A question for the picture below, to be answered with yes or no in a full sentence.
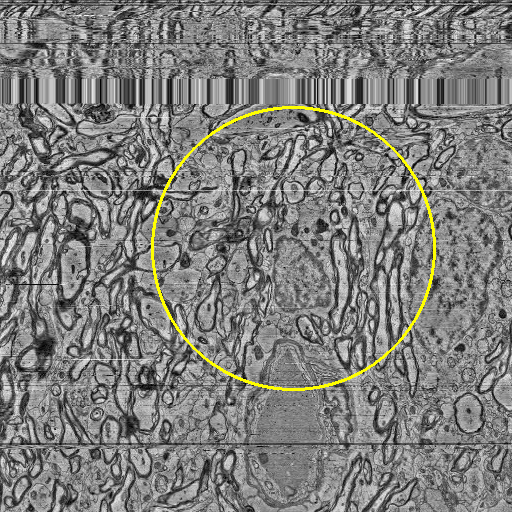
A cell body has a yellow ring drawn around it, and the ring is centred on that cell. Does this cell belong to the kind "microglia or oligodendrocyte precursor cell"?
No, the pictured cell at the ring's centre belongs to another kind.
